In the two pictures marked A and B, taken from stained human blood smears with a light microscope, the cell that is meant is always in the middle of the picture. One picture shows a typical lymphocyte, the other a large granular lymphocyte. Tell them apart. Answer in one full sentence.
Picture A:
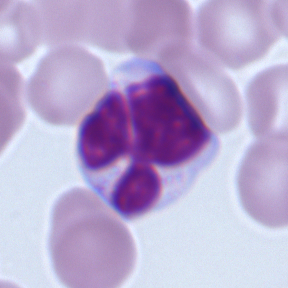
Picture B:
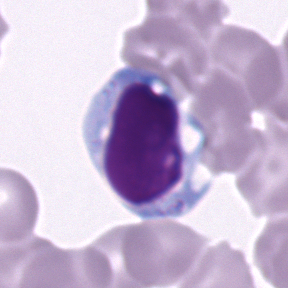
It is picture A that shows a large granular lymphocyte, and picture B that shows a typical lymphocyte.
